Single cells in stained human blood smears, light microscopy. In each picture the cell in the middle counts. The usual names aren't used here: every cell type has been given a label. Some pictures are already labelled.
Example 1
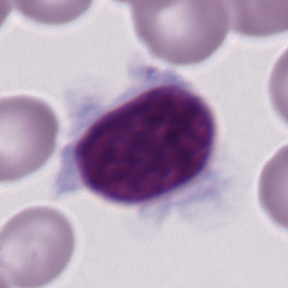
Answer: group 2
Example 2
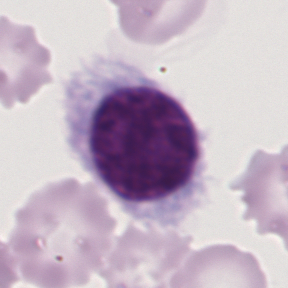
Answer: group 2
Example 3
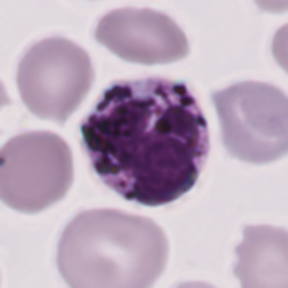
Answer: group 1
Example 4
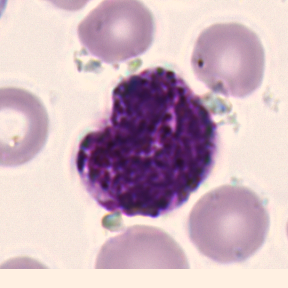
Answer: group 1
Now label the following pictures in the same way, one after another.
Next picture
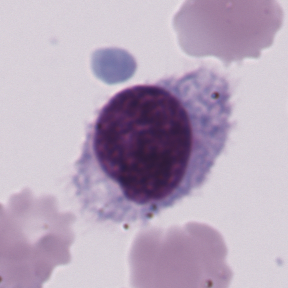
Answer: group 2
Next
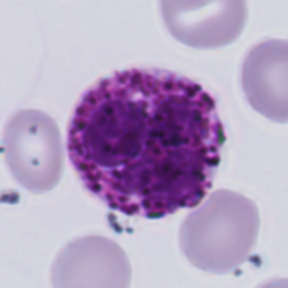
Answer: group 1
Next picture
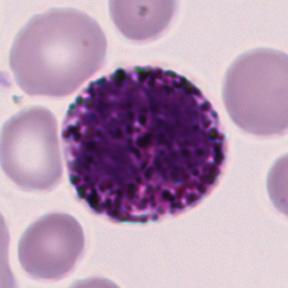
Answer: group 1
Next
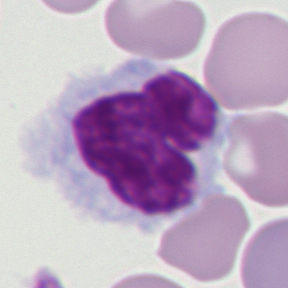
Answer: group 2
